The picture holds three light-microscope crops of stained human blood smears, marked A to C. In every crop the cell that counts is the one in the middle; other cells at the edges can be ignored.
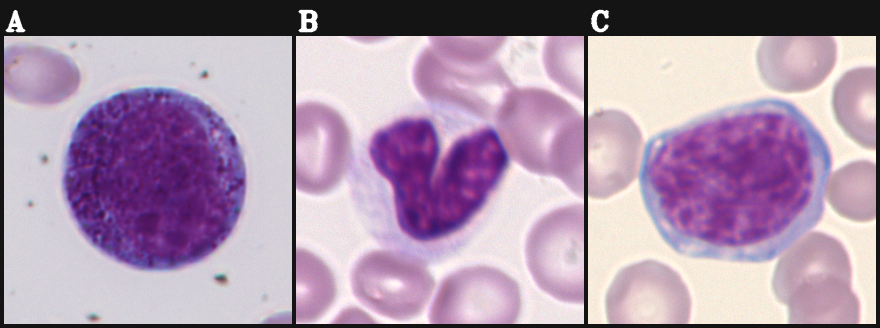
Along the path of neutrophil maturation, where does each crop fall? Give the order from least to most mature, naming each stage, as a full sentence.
By maturity, starting with the least mature, the order is crop C (a blast), crop A (a promyelocyte) and crop B (a band neutrophil).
